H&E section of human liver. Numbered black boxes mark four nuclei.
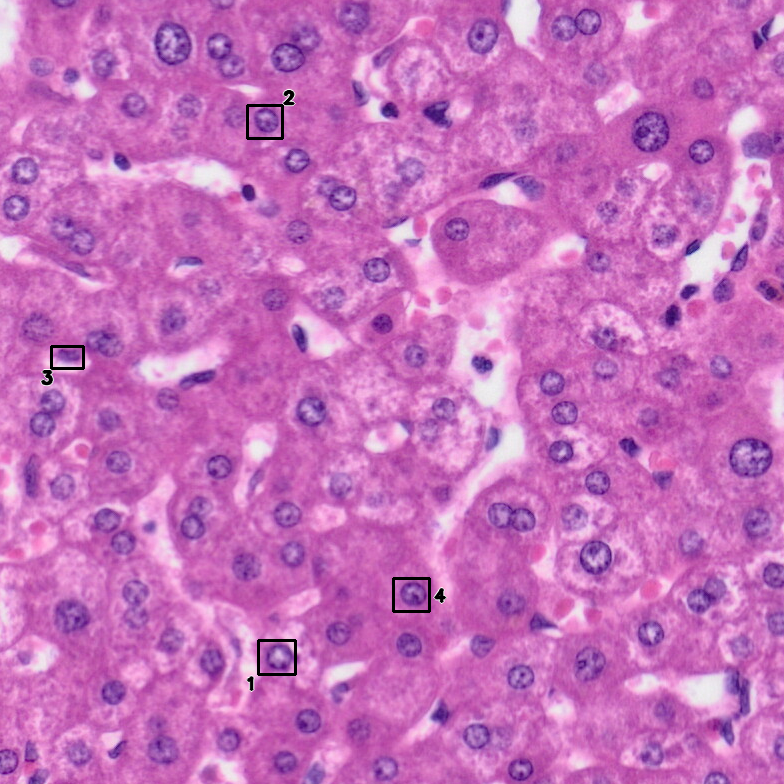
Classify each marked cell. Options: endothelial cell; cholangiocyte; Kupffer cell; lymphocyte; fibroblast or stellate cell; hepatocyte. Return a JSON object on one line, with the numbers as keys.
{"1": "hepatocyte", "2": "hepatocyte", "3": "Kupffer cell", "4": "hepatocyte"}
